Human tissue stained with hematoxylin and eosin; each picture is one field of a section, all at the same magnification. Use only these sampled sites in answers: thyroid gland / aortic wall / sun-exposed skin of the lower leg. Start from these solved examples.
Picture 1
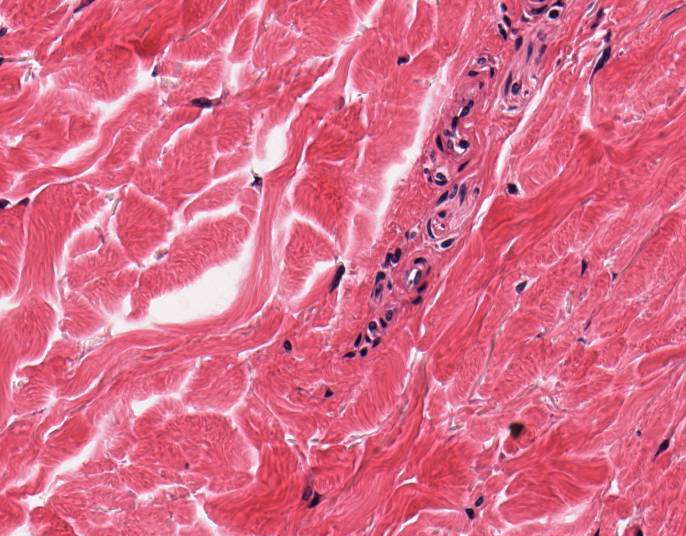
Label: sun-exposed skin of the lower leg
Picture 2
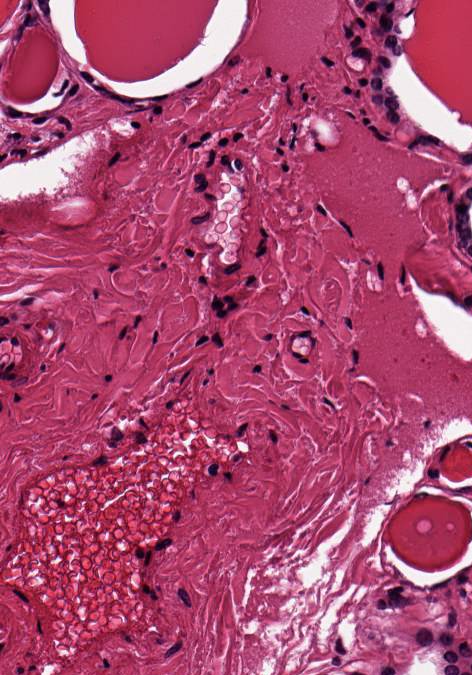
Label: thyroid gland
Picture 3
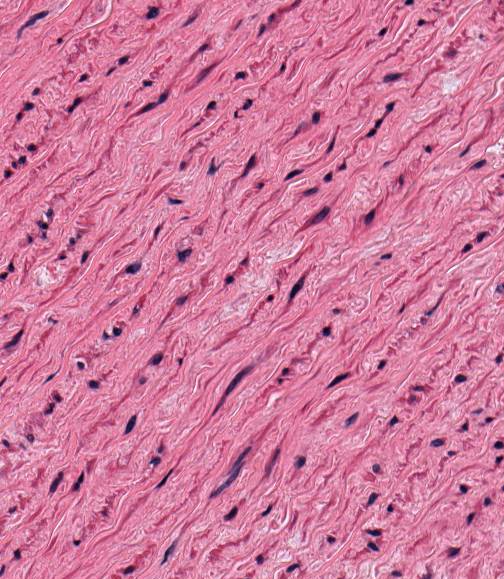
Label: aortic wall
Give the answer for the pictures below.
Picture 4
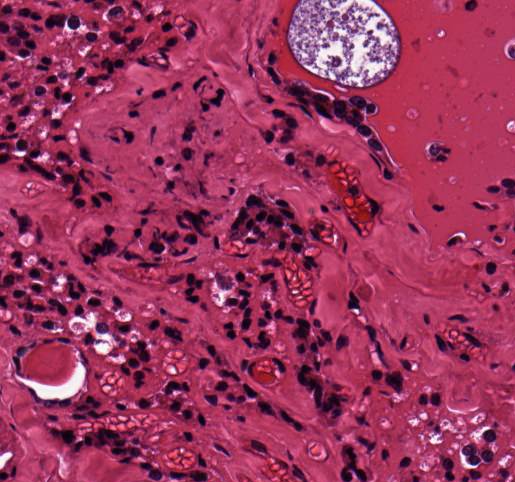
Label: thyroid gland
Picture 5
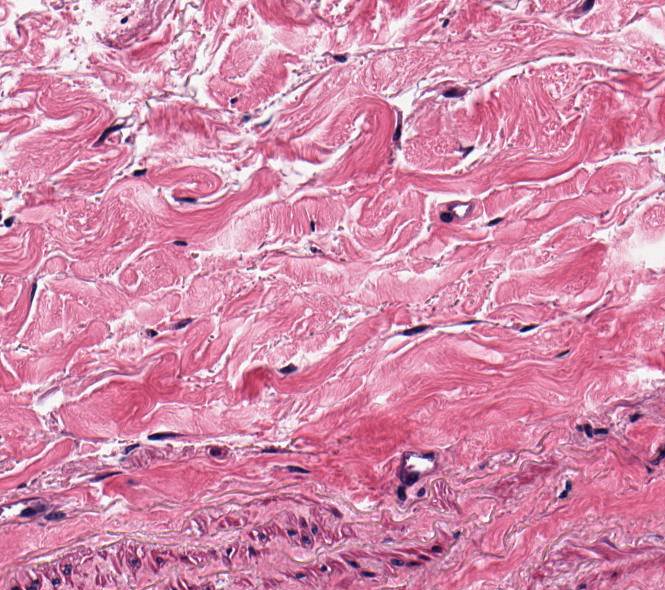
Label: aortic wall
